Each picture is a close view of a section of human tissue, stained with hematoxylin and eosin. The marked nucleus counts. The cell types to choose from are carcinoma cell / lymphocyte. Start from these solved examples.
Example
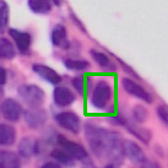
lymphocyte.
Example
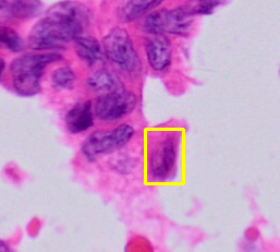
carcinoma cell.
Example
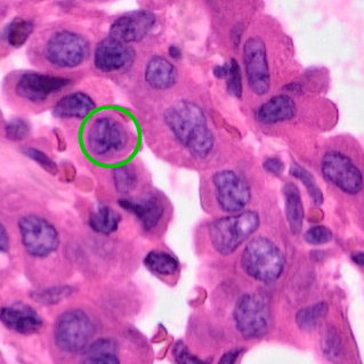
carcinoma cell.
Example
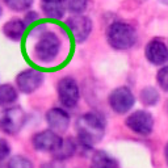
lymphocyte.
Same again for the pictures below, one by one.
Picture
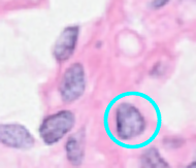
carcinoma cell.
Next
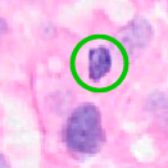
lymphocyte.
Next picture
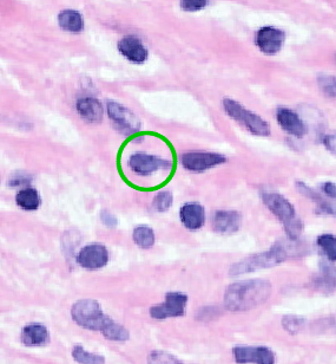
lymphocyte.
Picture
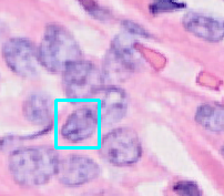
carcinoma cell.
